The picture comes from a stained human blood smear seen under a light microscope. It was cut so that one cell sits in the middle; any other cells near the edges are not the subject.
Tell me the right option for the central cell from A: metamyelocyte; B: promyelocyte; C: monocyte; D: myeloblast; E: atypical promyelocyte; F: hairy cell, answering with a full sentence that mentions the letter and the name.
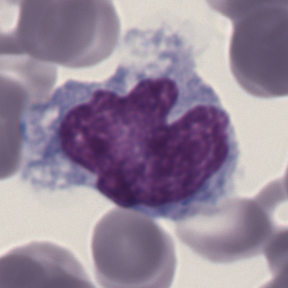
Identified correctly by option C, the cell in the middle is a monocyte.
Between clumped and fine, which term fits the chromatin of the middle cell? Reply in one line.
The chromatin pattern is fine and free of coarse clumps.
